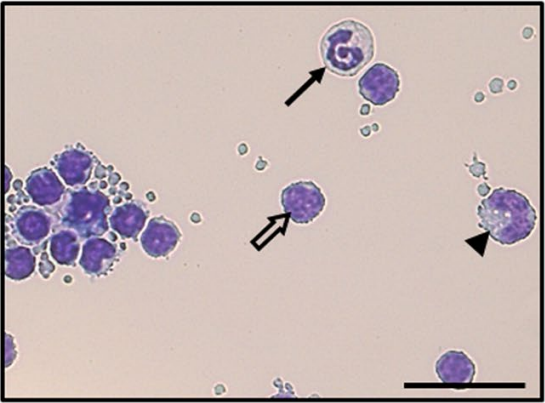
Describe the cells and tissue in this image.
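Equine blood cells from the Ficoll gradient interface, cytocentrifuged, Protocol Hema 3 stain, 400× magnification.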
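Most cells are small and round with a dark purple nucleus filling nearly the whole cell and a thin rim of cytoplasm, and several lie crowded together in a clump at the left. The neutrophil stands apart by its nucleus bent into a ring-like lobed band within a broad pale cytoplasm, while the monocyte is larger, with more cytoplasm holding small clear vacuoles. Tiny pale fragments are scattered in the background.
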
